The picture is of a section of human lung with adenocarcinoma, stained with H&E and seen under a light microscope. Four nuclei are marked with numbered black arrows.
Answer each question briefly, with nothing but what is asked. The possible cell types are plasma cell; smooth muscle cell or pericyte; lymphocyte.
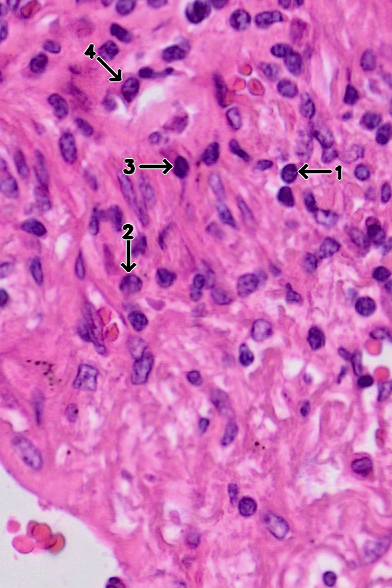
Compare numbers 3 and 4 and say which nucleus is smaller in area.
3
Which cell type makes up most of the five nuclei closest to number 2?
lymphocyte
